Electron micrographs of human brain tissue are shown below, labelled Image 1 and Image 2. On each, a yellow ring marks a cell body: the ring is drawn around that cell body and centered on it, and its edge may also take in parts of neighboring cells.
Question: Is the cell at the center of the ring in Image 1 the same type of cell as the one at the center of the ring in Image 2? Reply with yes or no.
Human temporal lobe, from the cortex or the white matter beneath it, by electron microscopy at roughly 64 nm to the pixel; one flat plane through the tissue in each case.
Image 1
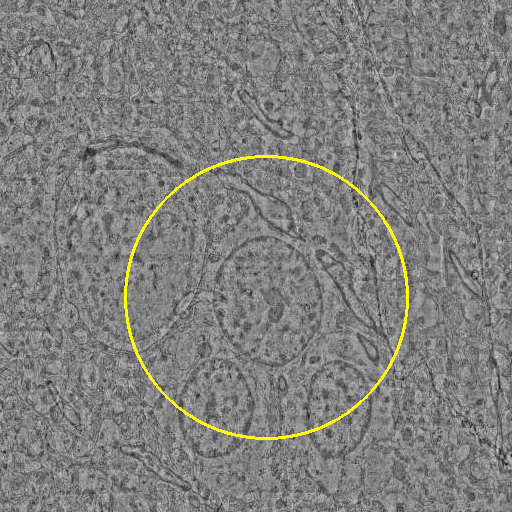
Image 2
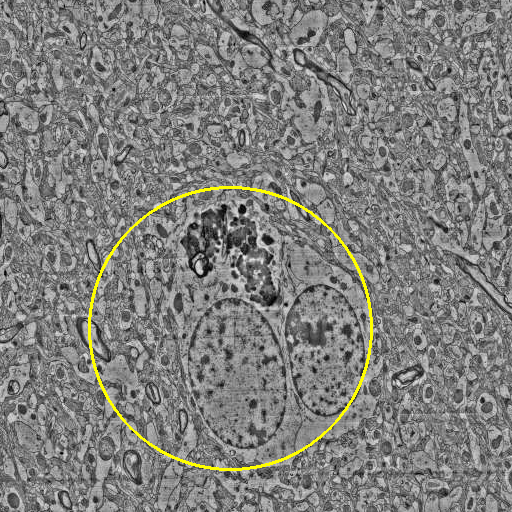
yes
